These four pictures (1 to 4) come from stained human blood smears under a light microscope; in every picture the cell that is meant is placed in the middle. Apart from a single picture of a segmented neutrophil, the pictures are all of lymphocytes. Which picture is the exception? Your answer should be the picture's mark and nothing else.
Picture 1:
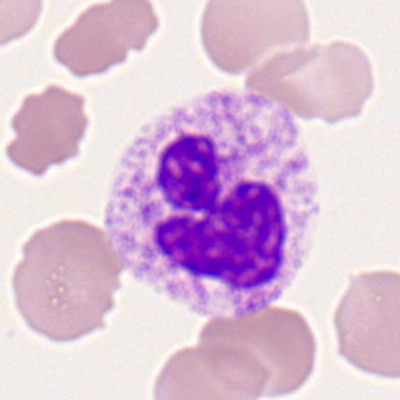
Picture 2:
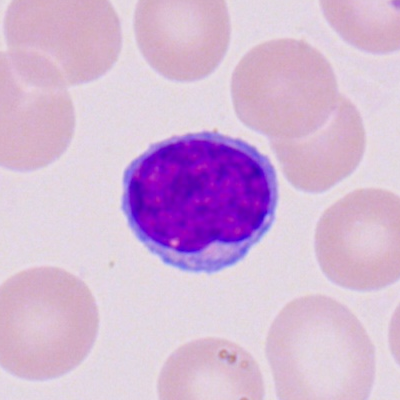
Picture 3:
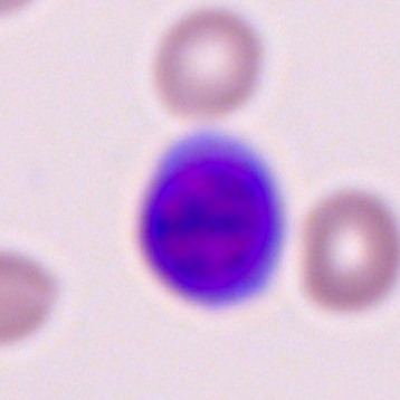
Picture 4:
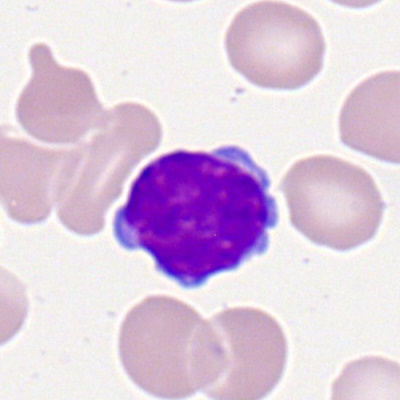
1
